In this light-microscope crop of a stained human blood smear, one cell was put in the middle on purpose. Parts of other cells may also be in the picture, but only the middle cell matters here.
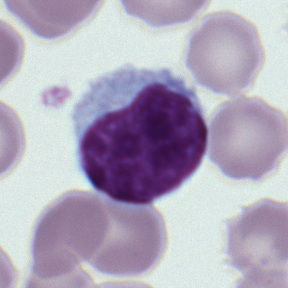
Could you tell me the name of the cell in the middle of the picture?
typical lymphocyte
